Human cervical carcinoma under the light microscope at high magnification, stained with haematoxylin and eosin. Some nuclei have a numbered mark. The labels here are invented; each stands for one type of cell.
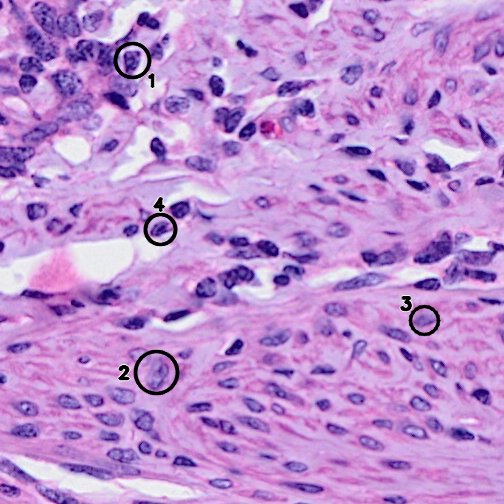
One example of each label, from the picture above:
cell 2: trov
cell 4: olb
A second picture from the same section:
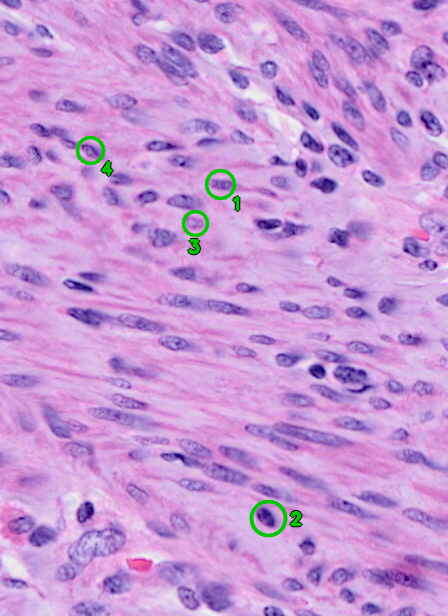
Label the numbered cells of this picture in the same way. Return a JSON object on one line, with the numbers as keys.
{"1": "trov", "2": "olb", "3": "trov", "4": "trov"}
